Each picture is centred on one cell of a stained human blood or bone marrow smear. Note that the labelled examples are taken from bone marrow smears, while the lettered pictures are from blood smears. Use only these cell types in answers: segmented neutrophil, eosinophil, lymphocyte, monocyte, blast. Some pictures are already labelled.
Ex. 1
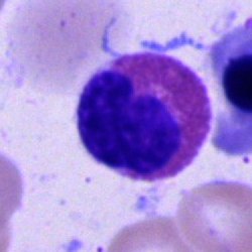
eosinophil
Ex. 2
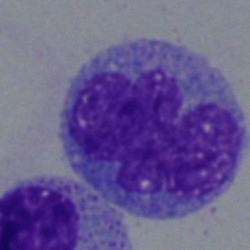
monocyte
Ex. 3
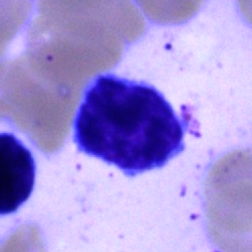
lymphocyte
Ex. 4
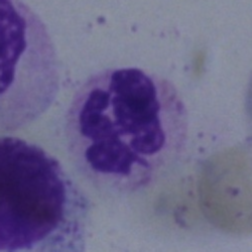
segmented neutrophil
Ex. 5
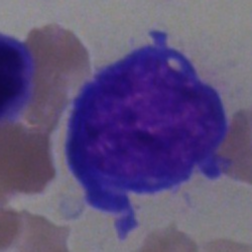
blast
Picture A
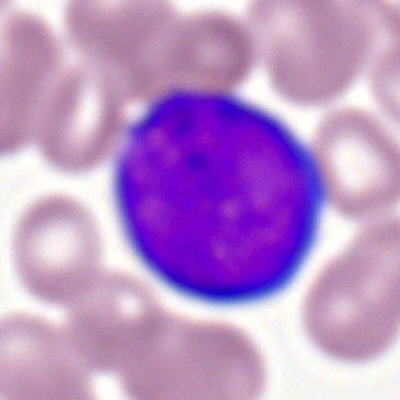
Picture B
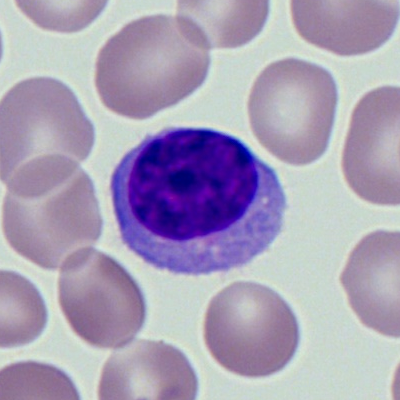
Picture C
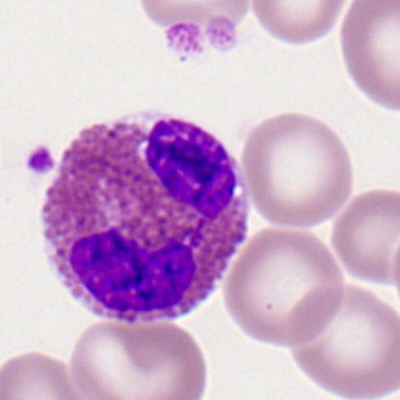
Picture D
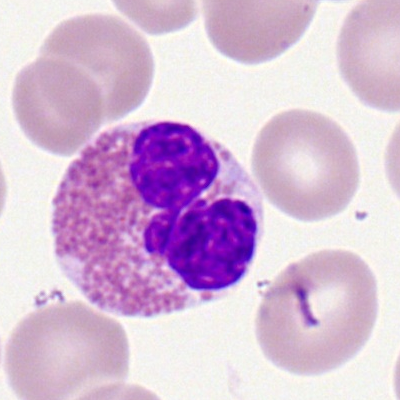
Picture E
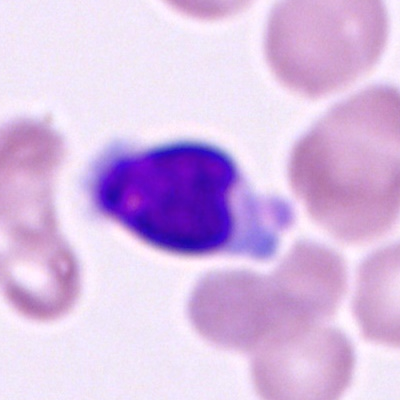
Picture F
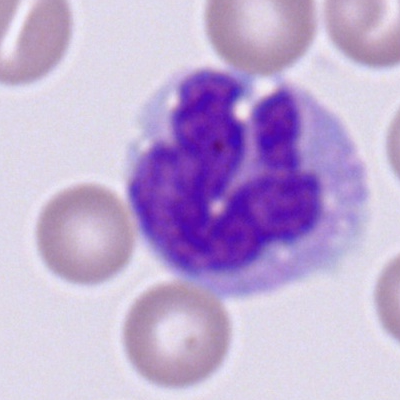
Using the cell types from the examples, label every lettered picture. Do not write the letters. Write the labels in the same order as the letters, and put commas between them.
blast, lymphocyte, eosinophil, eosinophil, lymphocyte, monocyte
